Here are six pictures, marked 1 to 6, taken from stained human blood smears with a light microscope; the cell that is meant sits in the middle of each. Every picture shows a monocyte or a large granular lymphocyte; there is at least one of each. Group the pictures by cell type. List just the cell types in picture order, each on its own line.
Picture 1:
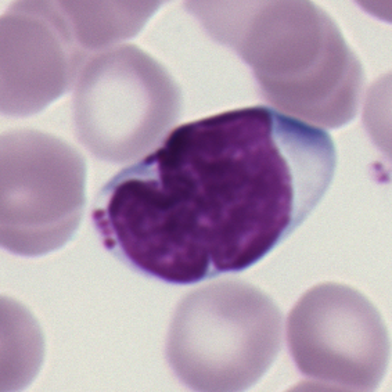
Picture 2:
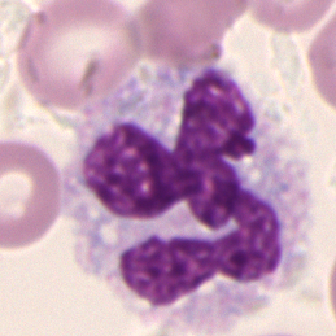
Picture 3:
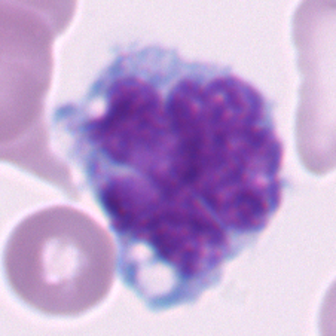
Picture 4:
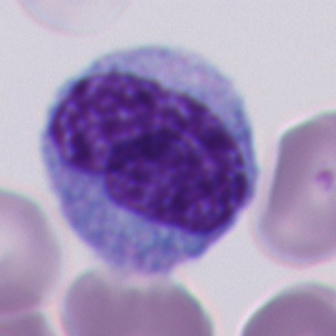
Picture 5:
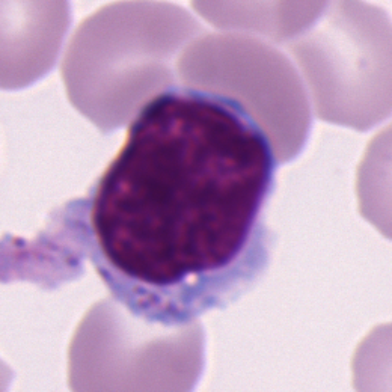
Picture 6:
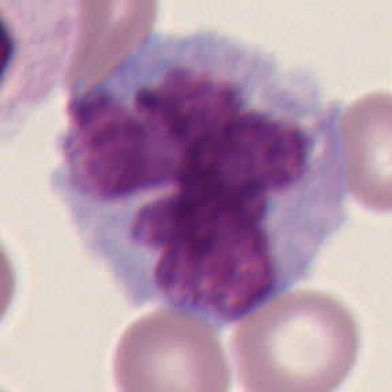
large granular lymphocyte
monocyte
monocyte
monocyte
large granular lymphocyte
monocyte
